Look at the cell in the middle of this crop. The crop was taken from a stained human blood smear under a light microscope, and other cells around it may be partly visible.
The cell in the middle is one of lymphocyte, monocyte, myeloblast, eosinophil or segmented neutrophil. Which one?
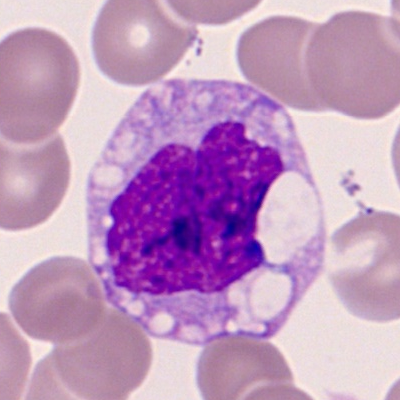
monocyte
